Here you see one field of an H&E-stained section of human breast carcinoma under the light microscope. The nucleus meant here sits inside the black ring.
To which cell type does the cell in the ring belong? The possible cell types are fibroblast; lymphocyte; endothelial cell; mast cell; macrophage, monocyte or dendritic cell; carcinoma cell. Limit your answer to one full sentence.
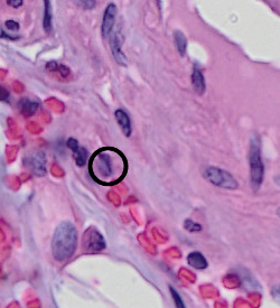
In this tissue section, the cell in the ring is to be classed as an endothelial cell.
